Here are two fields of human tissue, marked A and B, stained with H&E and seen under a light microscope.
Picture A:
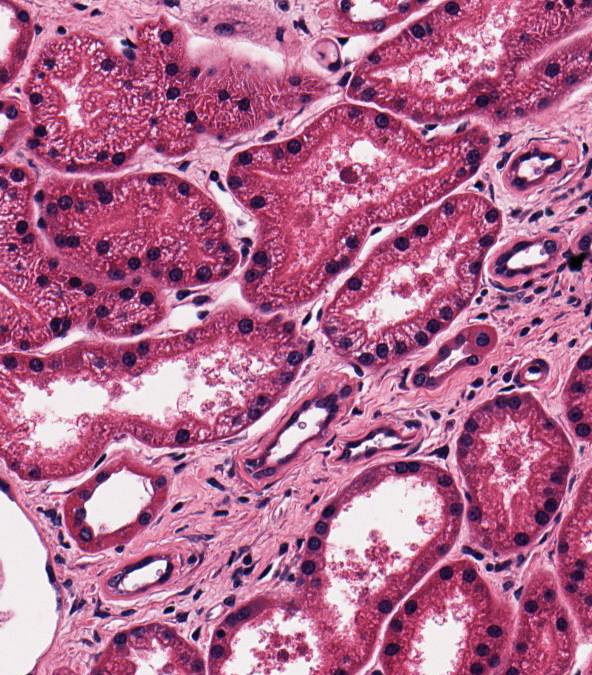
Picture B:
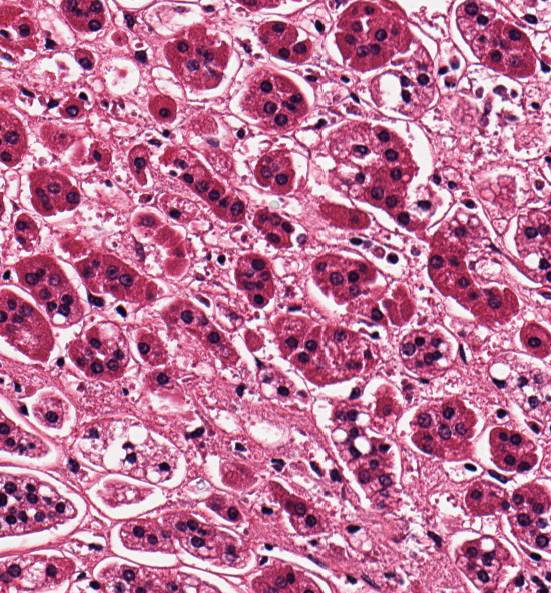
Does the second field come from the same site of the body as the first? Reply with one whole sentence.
No: picture A comes from the renal cortex, but picture B comes from the adrenal gland.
